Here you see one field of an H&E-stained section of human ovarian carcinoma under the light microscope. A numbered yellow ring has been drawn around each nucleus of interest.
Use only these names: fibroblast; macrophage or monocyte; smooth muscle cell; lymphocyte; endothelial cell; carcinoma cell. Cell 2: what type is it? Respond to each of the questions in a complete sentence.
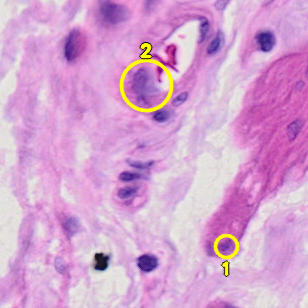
The correct label for cell 2 is an endothelial cell.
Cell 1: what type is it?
The cell marked with number 1 is a smooth muscle cell.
